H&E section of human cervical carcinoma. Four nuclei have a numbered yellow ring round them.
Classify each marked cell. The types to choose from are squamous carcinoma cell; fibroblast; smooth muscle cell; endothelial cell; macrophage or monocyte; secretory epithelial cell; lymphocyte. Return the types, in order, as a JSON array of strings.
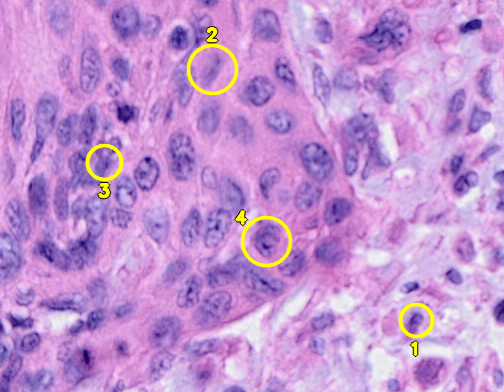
["fibroblast", "squamous carcinoma cell", "squamous carcinoma cell", "squamous carcinoma cell"]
